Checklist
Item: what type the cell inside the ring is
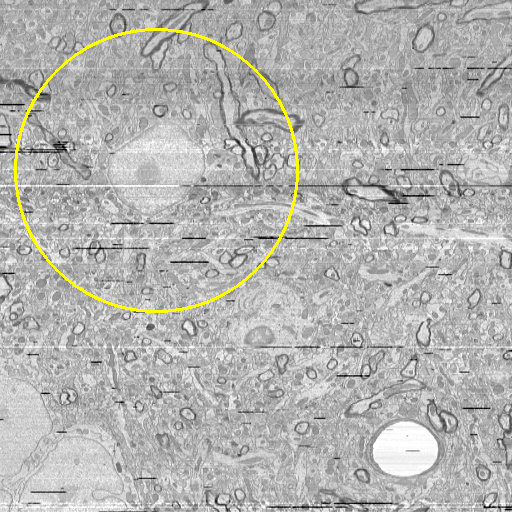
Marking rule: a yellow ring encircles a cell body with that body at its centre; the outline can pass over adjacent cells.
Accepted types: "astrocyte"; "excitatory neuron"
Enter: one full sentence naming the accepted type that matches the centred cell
The entry is that an astrocyte lies at the centre of the yellow ring.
